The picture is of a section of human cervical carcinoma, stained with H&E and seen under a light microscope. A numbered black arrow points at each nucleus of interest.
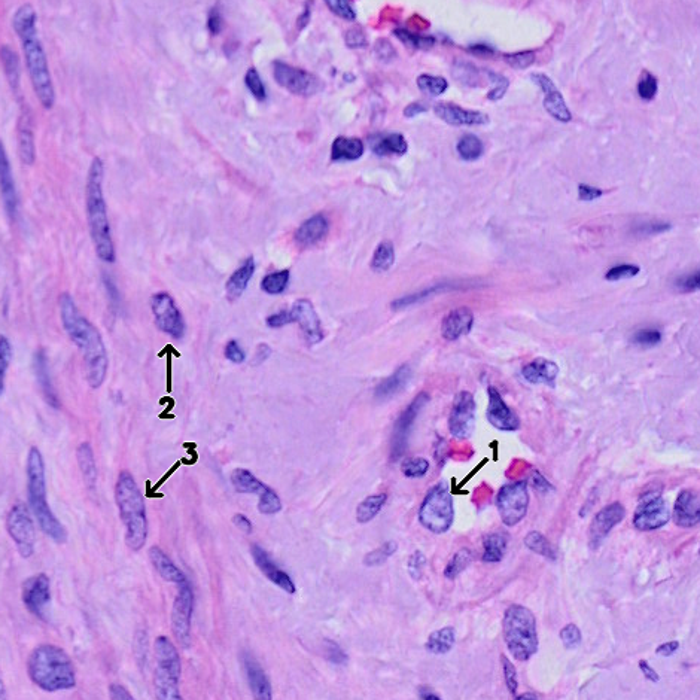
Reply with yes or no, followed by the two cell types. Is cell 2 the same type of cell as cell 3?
Yes, cells 2 and 3 are both smooth muscle cells in this section.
